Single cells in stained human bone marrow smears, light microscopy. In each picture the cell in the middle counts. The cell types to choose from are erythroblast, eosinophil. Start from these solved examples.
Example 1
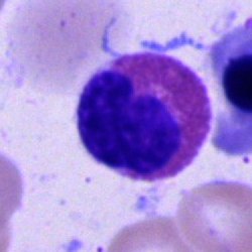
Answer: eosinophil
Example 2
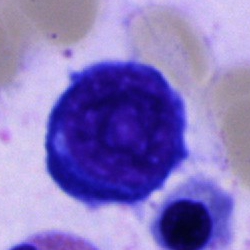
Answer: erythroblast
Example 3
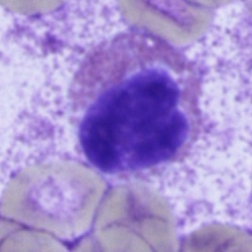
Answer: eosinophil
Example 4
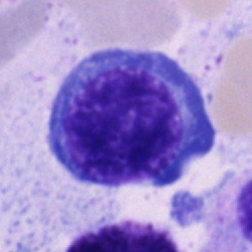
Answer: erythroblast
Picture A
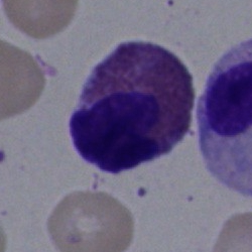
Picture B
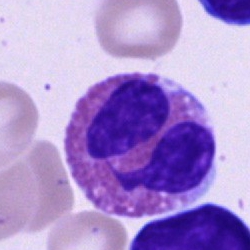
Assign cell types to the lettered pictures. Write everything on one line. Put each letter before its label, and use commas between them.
A eosinophil, B eosinophil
